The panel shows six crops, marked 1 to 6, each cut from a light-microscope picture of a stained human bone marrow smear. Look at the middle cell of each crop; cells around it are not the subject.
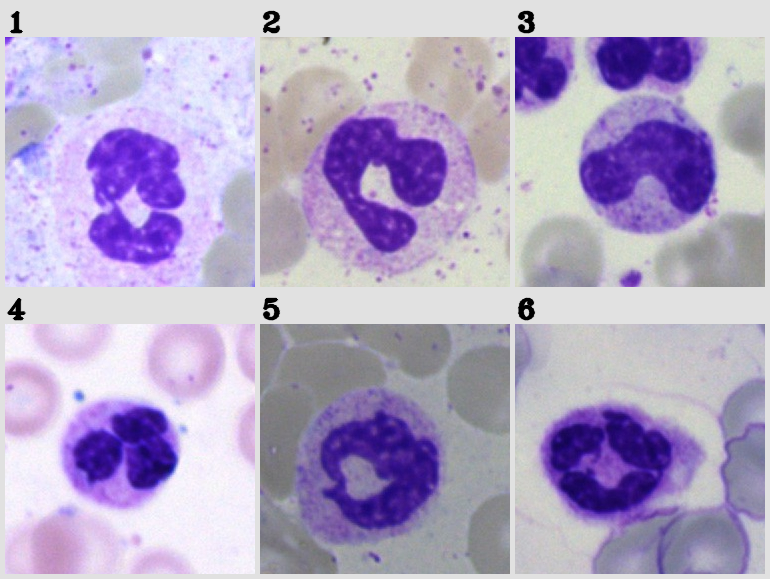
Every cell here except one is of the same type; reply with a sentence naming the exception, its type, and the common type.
Crop 3 holds a band neutrophil, unlike the remaining crops, all of which hold segmented neutrophils.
